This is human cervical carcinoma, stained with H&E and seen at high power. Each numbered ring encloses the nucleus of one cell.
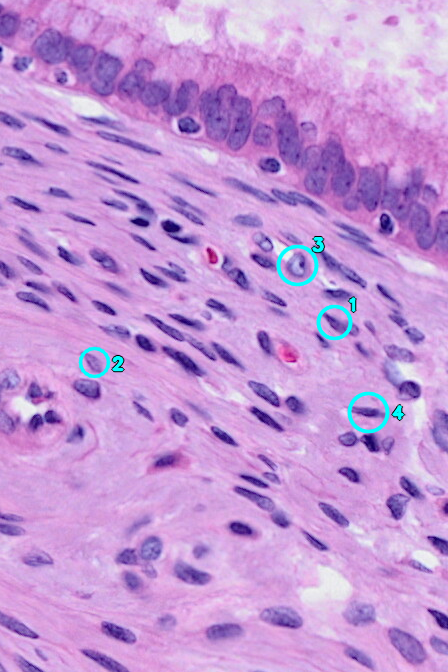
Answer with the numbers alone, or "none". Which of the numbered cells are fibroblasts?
1, 2, 4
